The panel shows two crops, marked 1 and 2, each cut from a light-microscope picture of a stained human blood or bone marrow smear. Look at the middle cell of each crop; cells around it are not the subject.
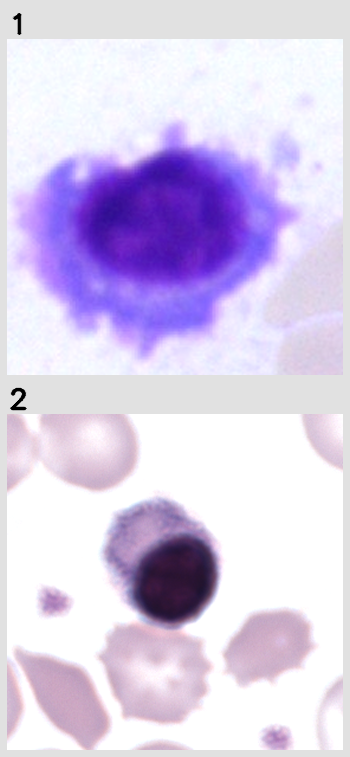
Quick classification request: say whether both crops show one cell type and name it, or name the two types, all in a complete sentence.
No, the cell at the middle of crop 1 is a plasma cell, while crop 2 centres on a normoblast.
